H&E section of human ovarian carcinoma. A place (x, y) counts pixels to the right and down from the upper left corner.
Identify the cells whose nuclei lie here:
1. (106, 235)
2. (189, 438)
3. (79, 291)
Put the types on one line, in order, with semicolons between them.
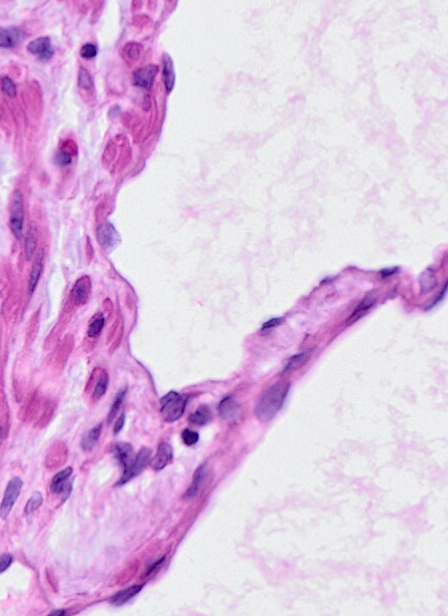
endothelial cell; lymphocyte; smooth muscle cell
